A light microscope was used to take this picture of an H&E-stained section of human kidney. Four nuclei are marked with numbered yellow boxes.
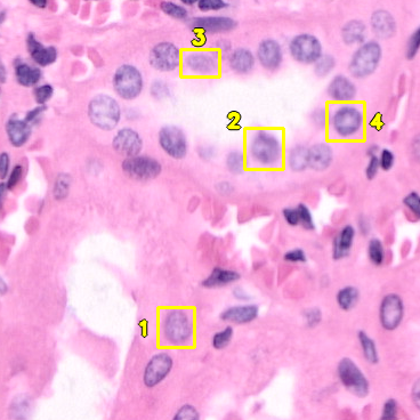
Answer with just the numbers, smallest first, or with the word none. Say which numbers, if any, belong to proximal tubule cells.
1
